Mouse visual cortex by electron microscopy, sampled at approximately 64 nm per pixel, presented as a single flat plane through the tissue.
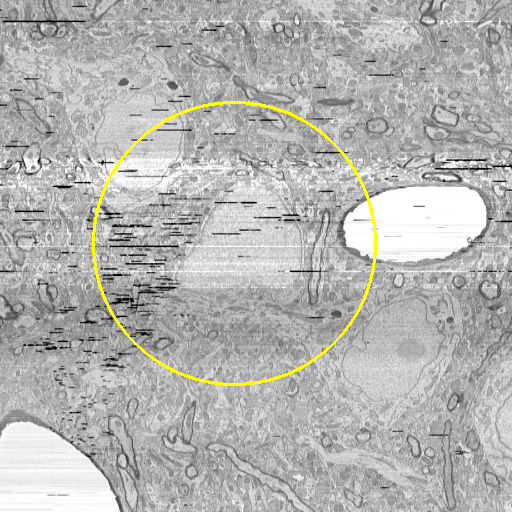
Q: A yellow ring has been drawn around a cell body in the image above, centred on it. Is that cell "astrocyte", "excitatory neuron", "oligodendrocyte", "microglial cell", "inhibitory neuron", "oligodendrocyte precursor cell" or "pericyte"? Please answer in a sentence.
The ring surrounds the cell body of an astrocyte.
